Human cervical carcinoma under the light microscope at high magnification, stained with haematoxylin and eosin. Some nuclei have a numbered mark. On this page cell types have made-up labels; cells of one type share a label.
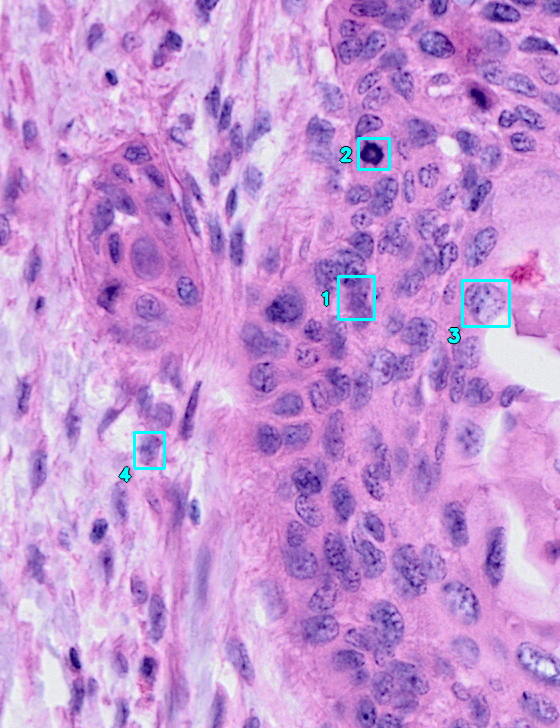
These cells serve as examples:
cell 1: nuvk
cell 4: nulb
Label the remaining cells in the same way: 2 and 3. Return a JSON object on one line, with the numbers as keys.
{"2": "nuvk", "3": "nuvk"}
